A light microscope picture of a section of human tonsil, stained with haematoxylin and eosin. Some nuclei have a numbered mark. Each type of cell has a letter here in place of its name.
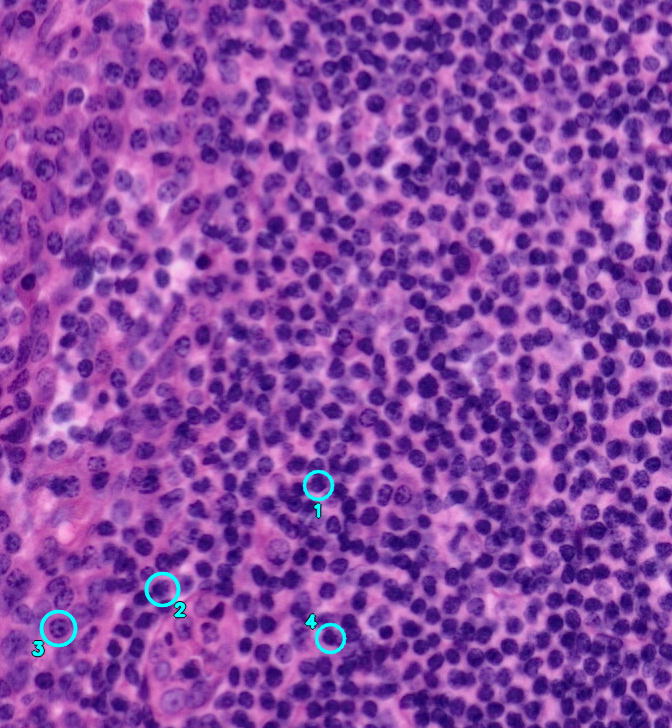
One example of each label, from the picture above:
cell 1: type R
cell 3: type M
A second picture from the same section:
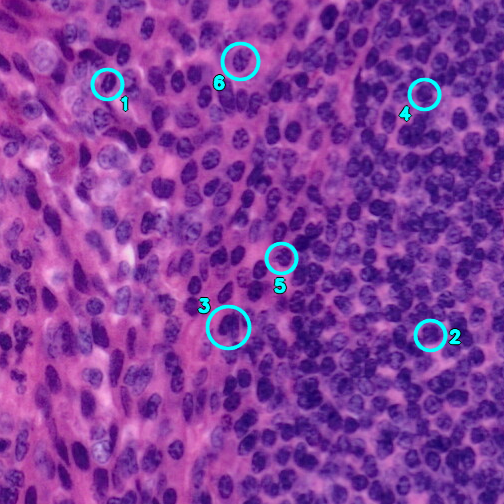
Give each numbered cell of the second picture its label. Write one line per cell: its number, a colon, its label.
1: type M
2: type R
3: type M
4: type R
5: type M
6: type M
